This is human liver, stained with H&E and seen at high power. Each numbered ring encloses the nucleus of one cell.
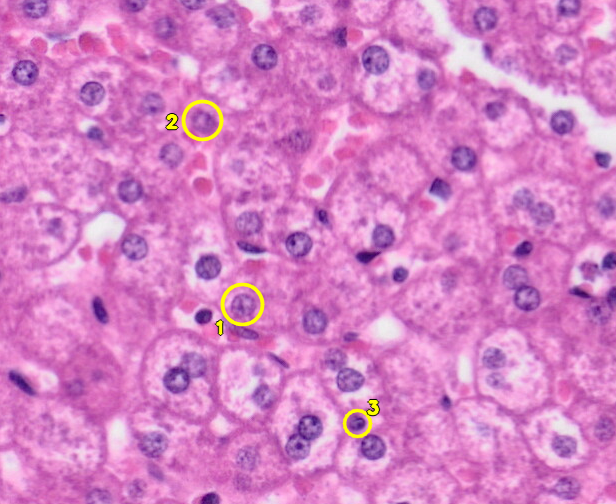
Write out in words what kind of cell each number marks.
Cells 1 and 2 are hepatocytes. Cell 3 is a Kupffer cell.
